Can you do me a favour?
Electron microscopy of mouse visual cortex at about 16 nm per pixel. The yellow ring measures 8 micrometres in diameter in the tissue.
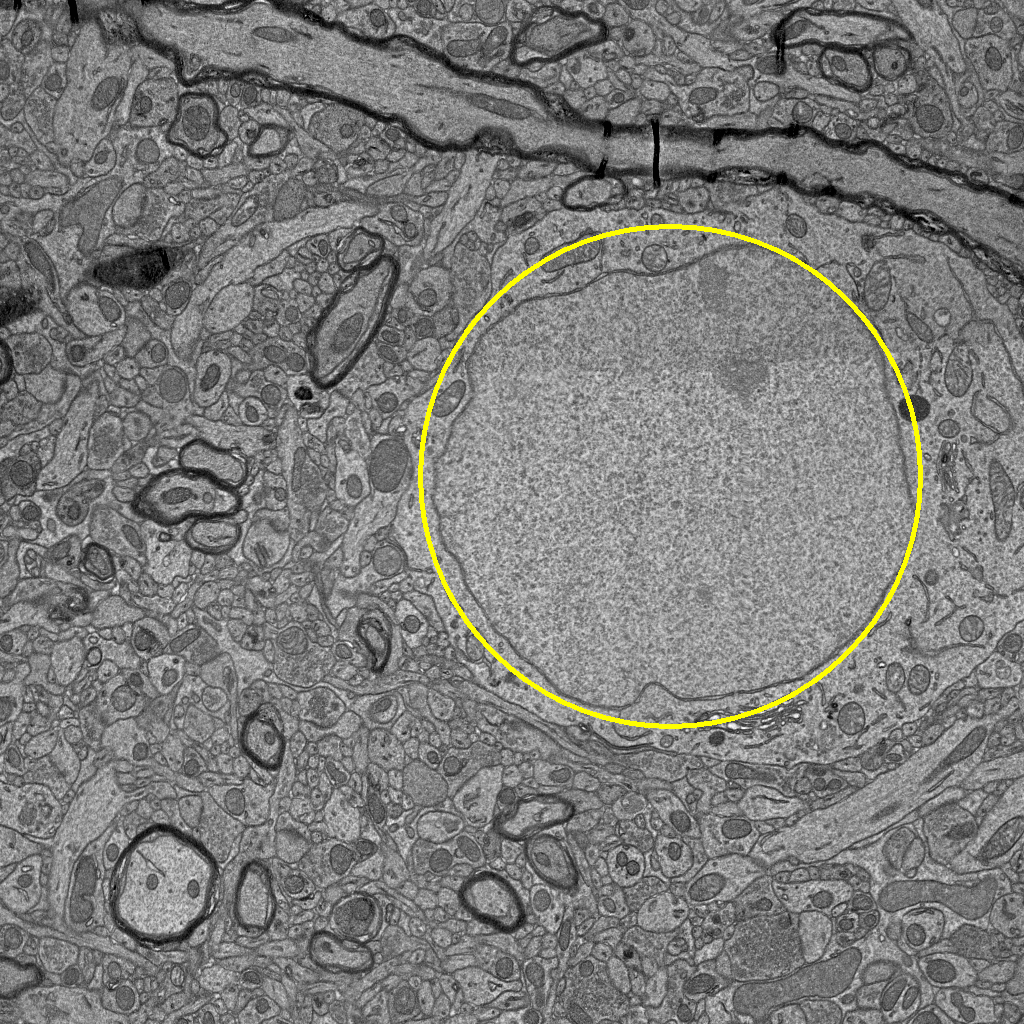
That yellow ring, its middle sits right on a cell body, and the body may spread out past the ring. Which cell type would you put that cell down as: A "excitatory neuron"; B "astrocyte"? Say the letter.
A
